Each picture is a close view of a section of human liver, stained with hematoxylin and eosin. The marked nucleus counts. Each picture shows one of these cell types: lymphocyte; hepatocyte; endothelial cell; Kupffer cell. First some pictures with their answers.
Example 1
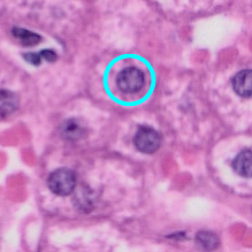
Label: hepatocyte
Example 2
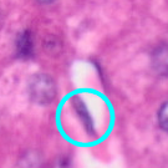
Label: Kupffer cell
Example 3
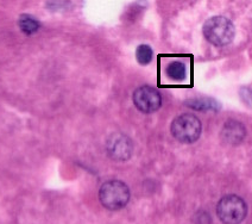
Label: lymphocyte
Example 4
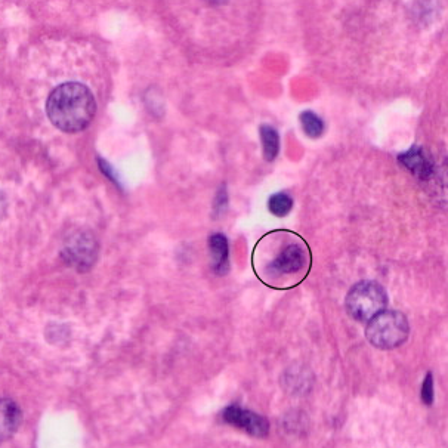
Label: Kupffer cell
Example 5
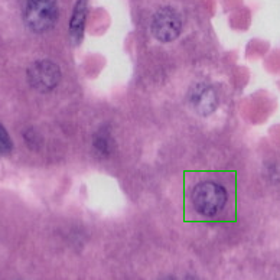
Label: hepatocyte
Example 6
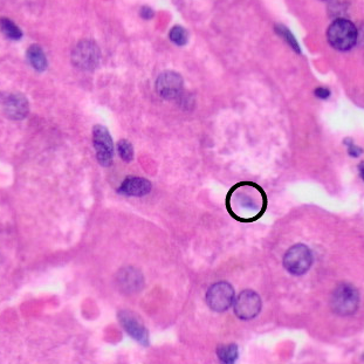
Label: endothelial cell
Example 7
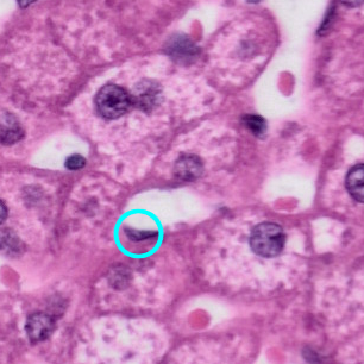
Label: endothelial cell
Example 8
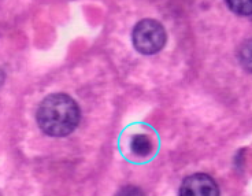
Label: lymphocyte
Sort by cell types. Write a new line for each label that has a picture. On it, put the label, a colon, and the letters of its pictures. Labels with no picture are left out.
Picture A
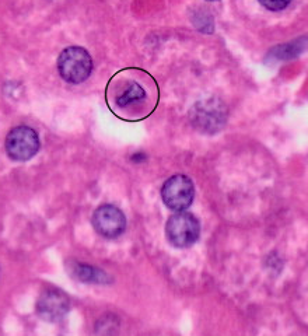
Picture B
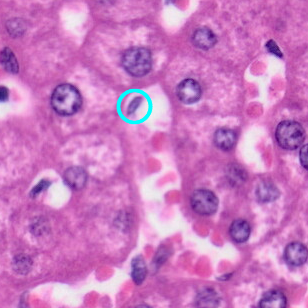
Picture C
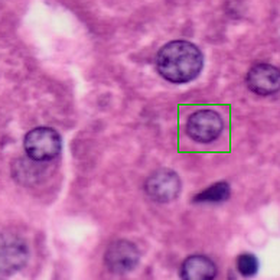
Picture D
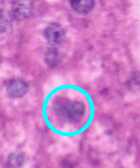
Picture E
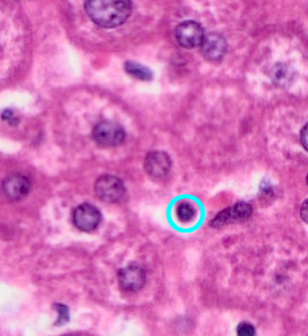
lymphocyte: E
hepatocyte: C
endothelial cell: B, D
Kupffer cell: A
